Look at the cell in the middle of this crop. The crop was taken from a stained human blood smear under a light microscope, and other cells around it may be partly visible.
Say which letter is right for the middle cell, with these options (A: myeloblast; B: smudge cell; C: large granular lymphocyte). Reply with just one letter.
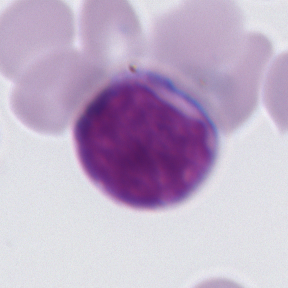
C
